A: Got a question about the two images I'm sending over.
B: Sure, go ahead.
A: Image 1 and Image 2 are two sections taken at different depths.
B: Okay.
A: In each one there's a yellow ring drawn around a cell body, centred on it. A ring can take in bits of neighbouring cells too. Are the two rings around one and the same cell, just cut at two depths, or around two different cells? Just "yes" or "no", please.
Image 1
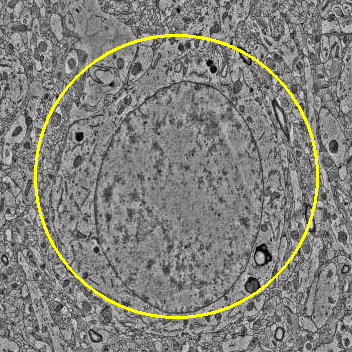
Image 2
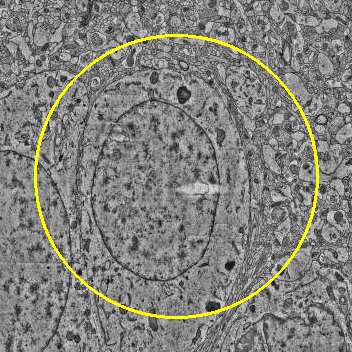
no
